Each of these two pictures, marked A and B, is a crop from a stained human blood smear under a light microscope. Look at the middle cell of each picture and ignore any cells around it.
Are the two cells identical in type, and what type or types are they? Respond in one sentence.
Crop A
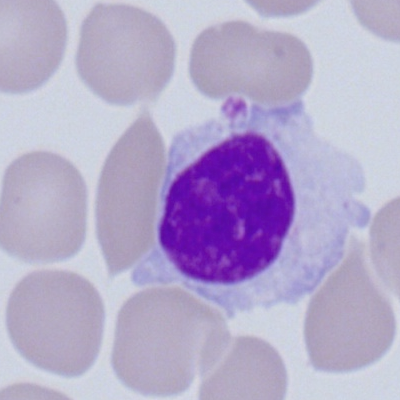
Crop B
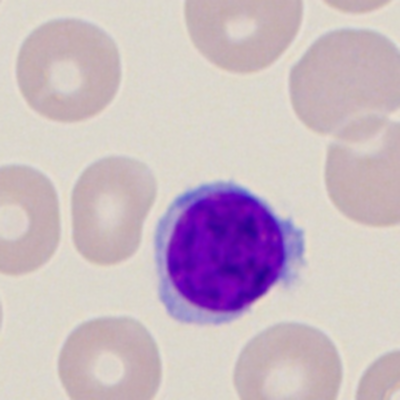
Yes, the two crops show lymphocytes, both of them.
